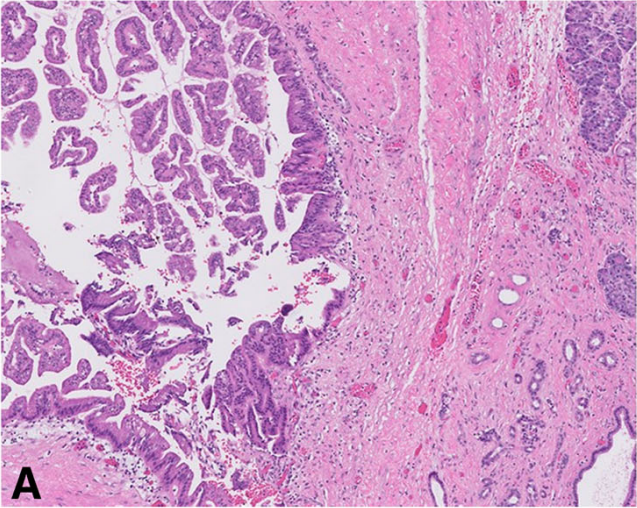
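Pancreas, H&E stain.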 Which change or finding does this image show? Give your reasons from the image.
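Intraductal papillary mucinous neoplasm. Branching papillary fronds fill a dilated duct-like space on the left. The fronds are lined by tall columnar epithelium. Fibrous stroma with small ducts and acinar tissue lies to the right.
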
